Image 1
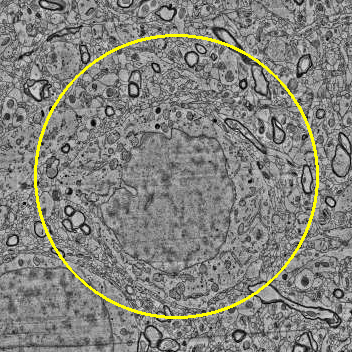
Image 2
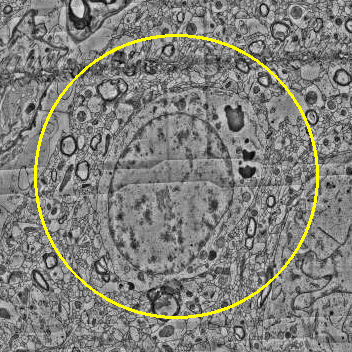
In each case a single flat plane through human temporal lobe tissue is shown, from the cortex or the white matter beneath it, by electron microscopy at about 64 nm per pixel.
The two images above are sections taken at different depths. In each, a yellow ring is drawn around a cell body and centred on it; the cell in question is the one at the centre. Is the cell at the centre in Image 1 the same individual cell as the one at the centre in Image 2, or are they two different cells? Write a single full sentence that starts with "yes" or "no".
No, each of the two rings holds a different cell.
